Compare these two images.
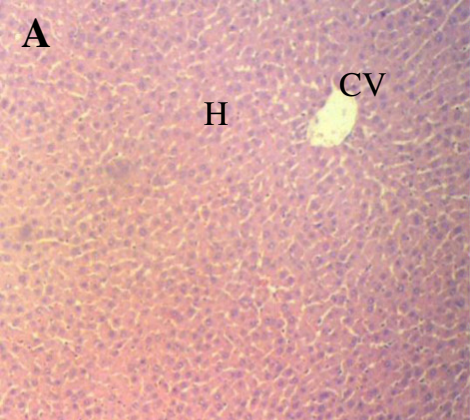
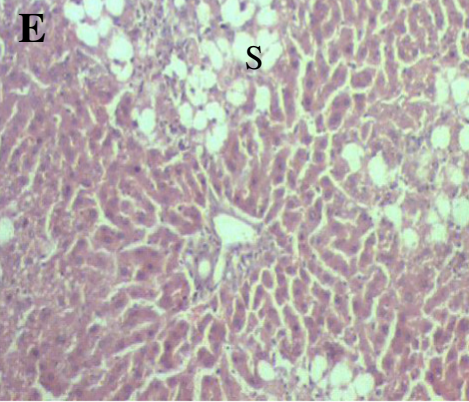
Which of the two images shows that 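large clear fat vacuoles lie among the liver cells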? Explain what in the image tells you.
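Second image: many large round clear vacuoles cluster among the cell cords. First image: uniform pink cell cords without clear vacuoles.
Answer: the second image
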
